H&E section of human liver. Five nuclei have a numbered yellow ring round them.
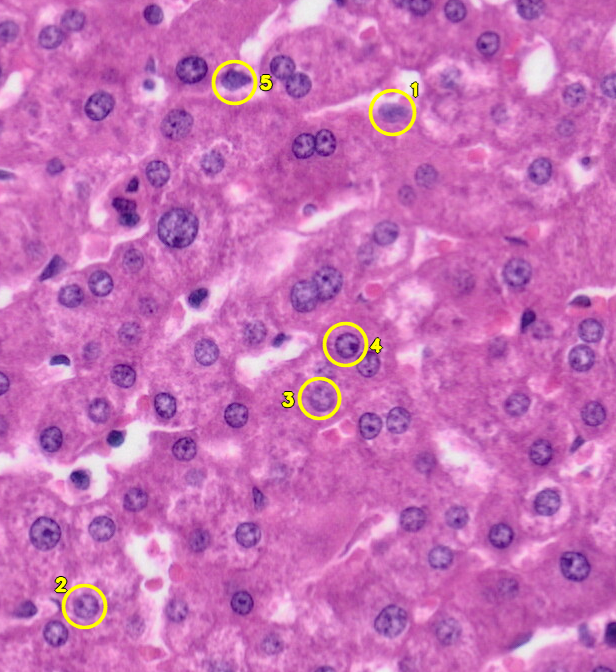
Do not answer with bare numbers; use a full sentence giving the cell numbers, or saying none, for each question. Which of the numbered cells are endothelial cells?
As for the cells numbered 1 and 5, they are endothelial cells.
